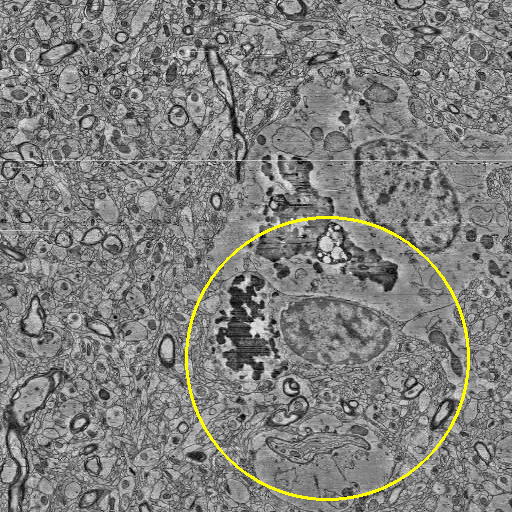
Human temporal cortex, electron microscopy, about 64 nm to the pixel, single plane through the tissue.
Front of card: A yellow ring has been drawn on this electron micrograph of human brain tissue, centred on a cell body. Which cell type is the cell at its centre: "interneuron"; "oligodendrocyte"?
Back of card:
oligodendrocyte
